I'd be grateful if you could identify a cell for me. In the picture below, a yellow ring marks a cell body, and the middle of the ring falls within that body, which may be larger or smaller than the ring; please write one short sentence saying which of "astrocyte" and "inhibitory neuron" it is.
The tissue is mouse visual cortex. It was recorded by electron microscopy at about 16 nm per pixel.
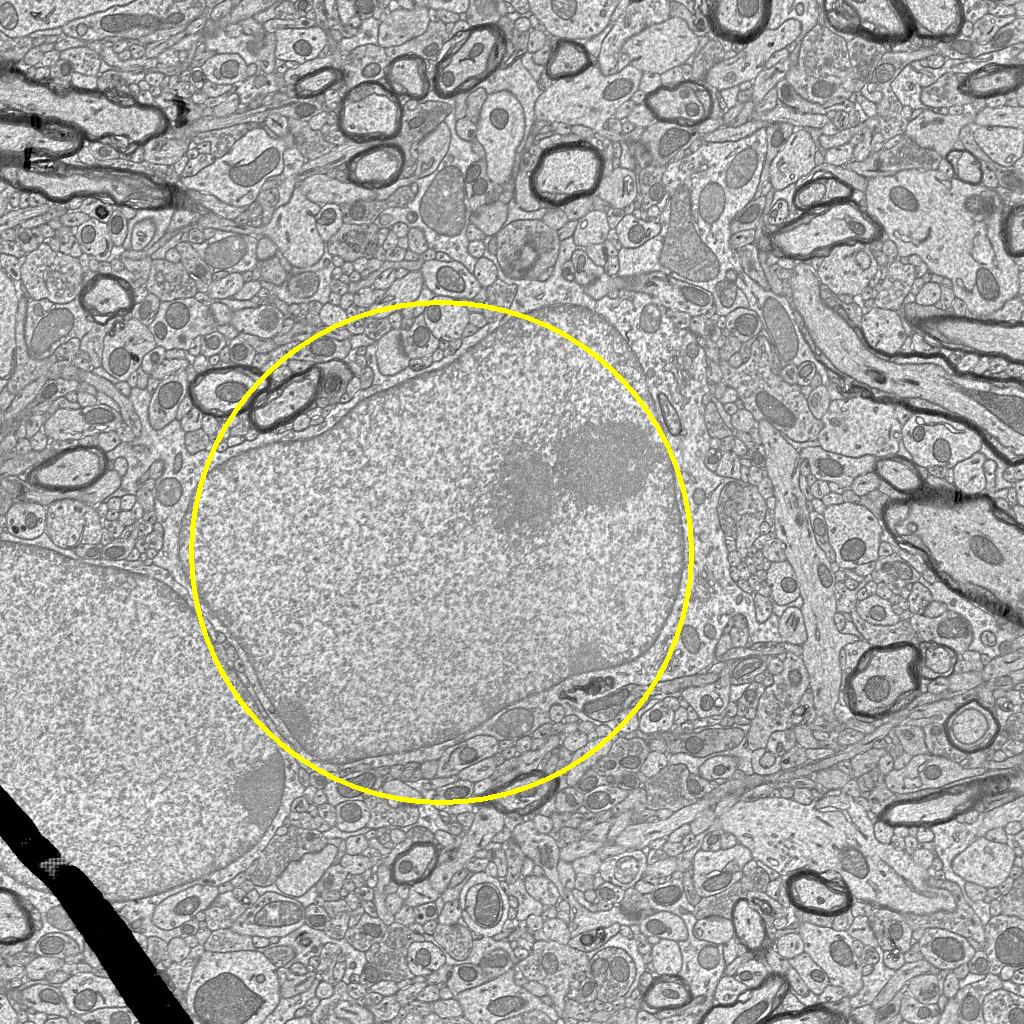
The cell under the ring's centre is an astrocyte.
